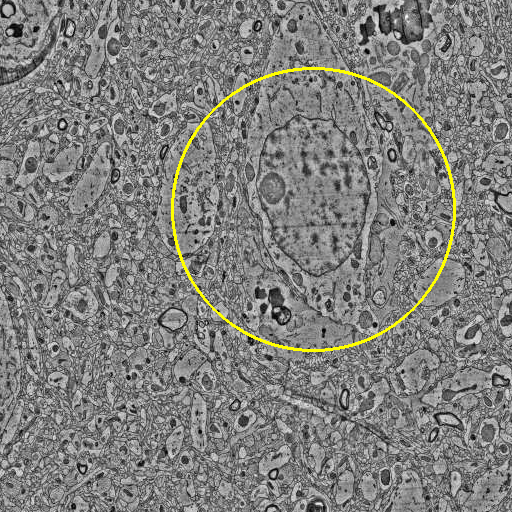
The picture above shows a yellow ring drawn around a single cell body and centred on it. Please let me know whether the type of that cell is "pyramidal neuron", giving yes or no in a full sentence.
Yes, that type fits the cell at the centre of the ring above.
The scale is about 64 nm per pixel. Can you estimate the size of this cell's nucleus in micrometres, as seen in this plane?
The nucleus is approximately 10 micrometers long by 7 micrometers wide in this plane.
